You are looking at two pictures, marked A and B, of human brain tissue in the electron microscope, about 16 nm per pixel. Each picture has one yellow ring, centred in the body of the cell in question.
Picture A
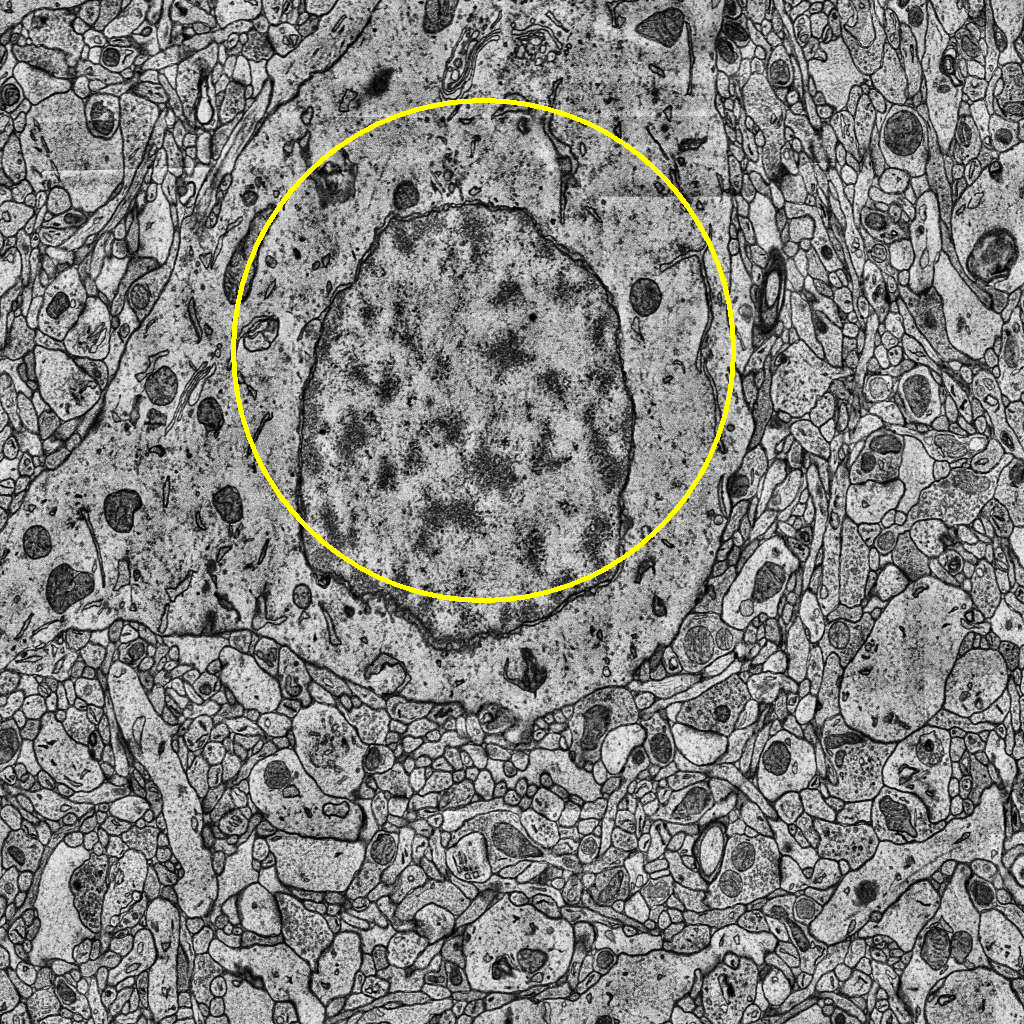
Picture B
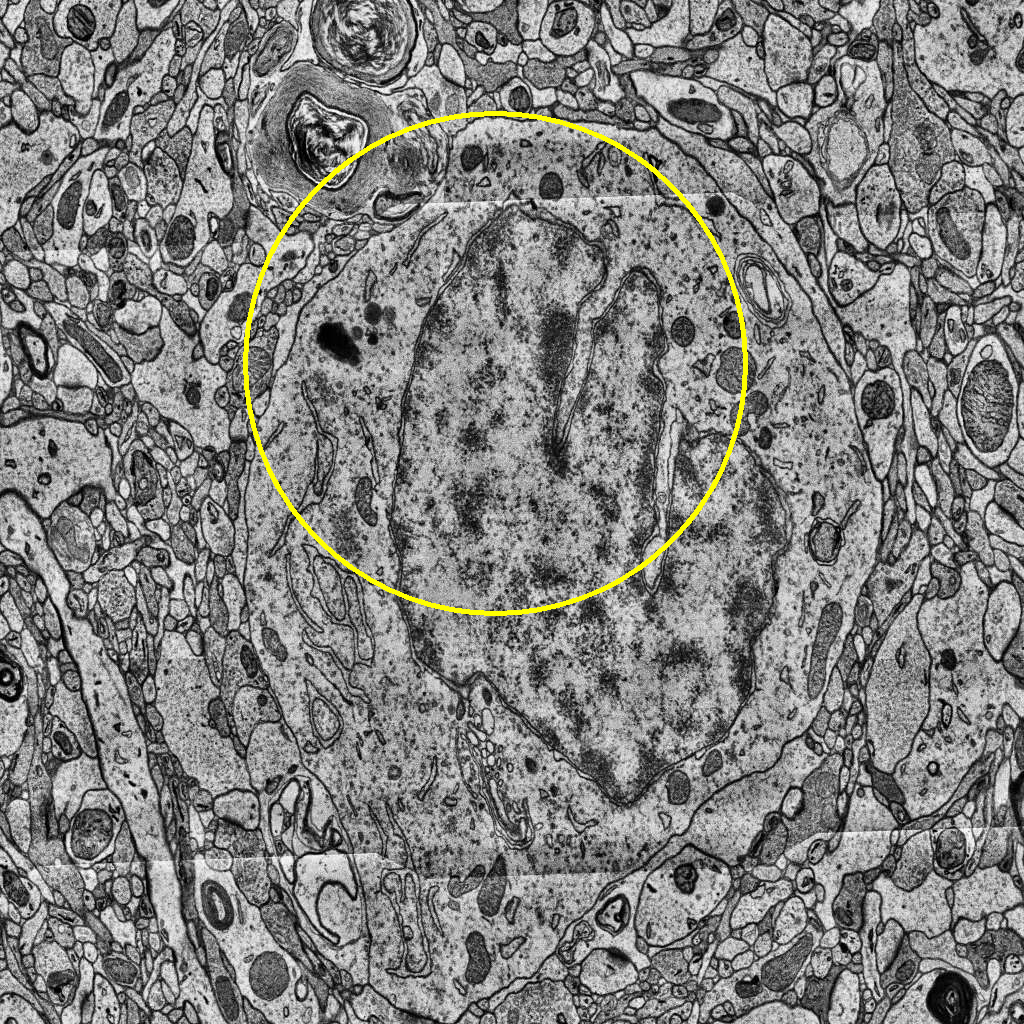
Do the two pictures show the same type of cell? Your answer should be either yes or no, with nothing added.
no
